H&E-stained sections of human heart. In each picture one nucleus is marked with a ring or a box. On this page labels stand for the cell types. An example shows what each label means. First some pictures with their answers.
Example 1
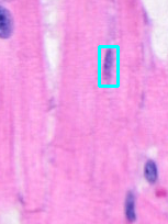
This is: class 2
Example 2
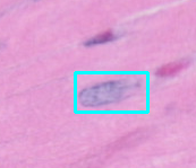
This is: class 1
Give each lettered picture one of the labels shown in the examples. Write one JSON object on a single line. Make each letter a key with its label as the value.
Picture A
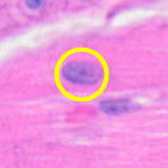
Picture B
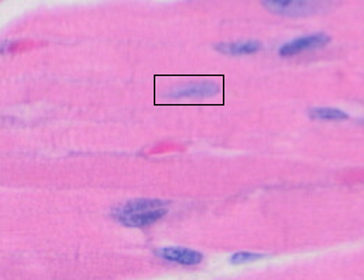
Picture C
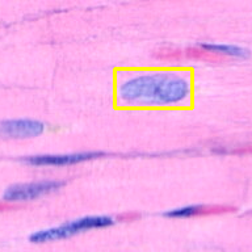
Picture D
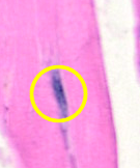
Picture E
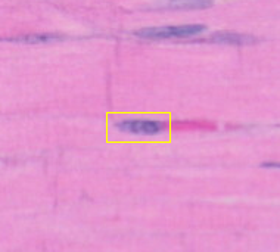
{"A": "class 1", "B": "class 1", "C": "class 1", "D": "class 2", "E": "class 2"}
